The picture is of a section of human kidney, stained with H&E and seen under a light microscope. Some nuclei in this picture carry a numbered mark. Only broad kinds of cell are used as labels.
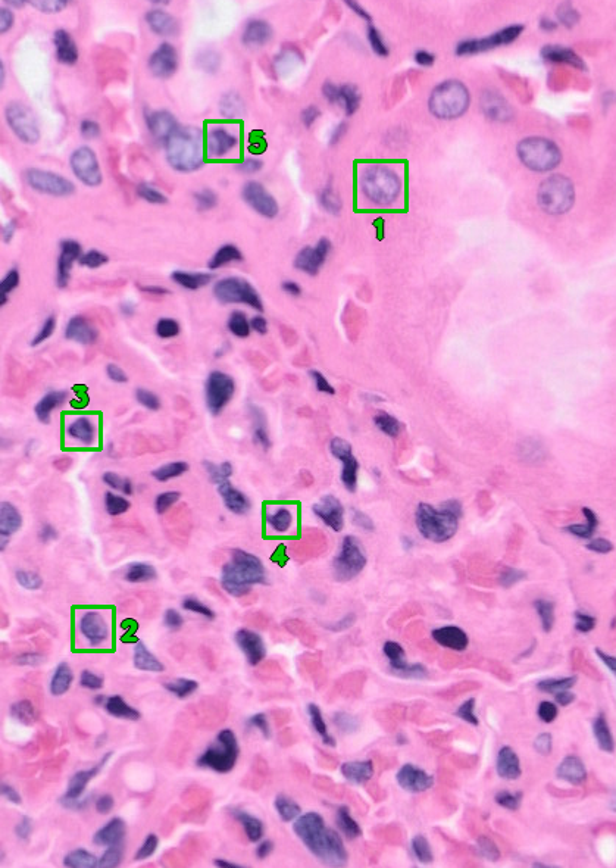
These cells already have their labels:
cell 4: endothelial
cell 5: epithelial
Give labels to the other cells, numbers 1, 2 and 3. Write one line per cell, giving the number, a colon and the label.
1: epithelial
2: endothelial
3: endothelial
